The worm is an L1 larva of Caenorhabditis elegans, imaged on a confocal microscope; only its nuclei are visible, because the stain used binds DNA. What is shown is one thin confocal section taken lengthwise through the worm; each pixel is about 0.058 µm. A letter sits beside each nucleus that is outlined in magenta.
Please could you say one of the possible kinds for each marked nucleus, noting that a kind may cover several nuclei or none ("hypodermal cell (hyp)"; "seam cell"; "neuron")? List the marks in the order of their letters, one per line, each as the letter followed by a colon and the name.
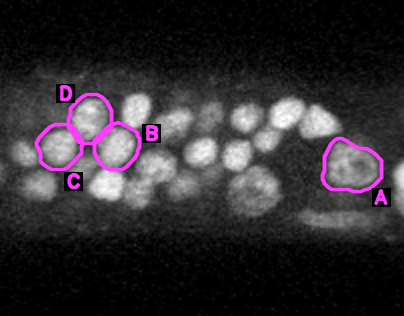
A: seam cell
B: neuron
C: neuron
D: neuron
